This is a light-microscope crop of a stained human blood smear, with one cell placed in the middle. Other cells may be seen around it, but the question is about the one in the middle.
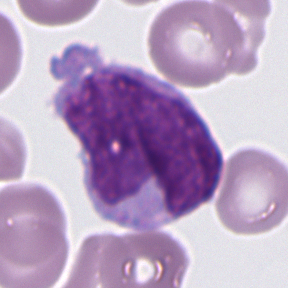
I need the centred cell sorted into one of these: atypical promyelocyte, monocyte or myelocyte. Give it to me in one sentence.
Located at the centre of the crop is an atypical promyelocyte.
